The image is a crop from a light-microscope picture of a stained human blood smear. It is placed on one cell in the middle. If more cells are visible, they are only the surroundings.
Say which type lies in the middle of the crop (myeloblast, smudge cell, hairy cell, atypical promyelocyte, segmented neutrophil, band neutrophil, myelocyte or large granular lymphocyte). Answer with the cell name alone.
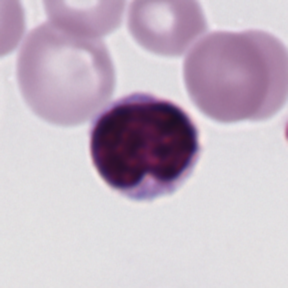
large granular lymphocyte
